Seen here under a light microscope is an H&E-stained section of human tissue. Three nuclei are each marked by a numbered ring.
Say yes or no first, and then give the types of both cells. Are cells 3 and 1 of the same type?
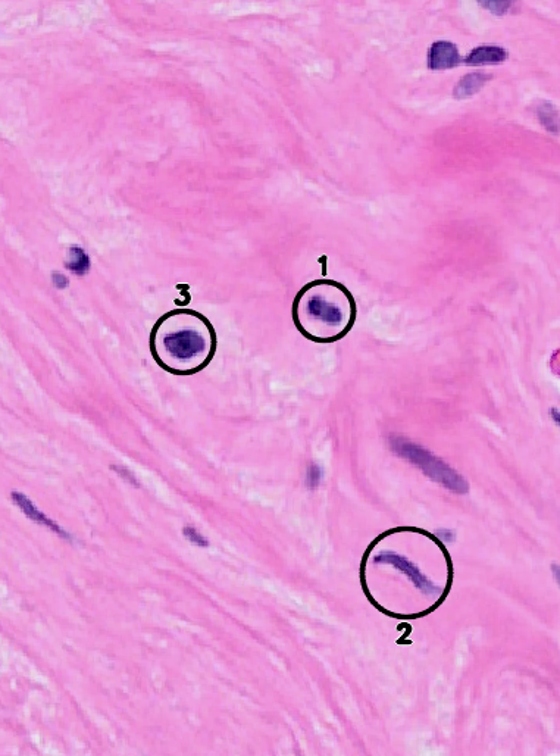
Yes, the cell marked 3 and the cell marked 1 are both lymphocytes.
